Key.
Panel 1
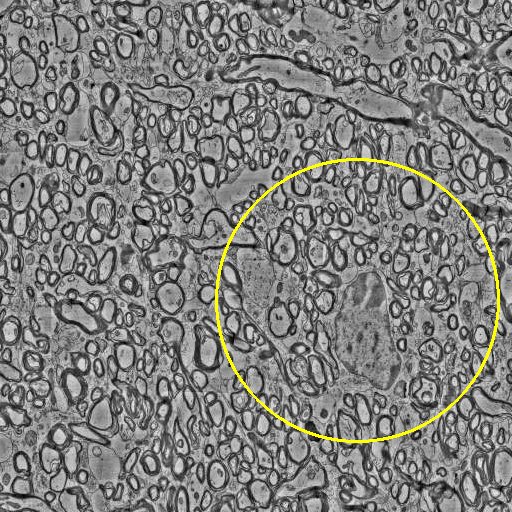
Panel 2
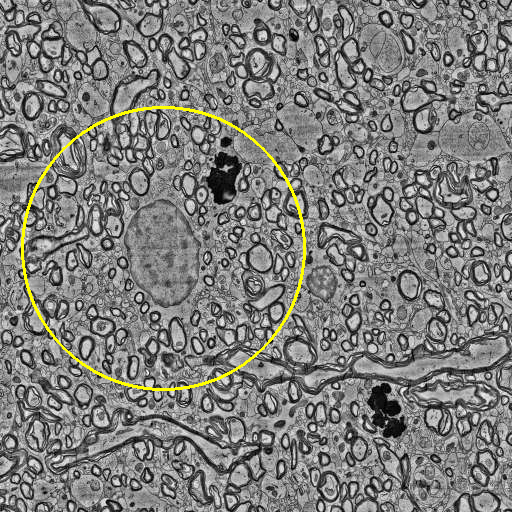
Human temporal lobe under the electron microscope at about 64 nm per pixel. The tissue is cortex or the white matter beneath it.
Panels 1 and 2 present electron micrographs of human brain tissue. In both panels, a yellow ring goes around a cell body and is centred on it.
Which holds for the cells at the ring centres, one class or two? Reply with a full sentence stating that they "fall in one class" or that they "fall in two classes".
Taken together, the ring-centre cells of the two panels fall in two classes.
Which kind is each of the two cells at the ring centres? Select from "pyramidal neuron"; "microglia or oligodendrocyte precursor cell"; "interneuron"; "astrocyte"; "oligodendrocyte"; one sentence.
The cell at the centre of the ring is a microglial cell or oligodendrocyte precursor cell in the first picture and an oligodendrocyte in the second.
